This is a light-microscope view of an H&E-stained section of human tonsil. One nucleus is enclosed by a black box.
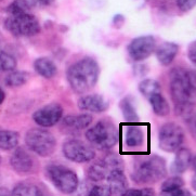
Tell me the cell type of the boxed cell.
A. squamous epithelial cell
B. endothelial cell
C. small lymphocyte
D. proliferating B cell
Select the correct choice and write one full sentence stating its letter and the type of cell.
It is option D that correctly calls the boxed cell a proliferating B cell.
